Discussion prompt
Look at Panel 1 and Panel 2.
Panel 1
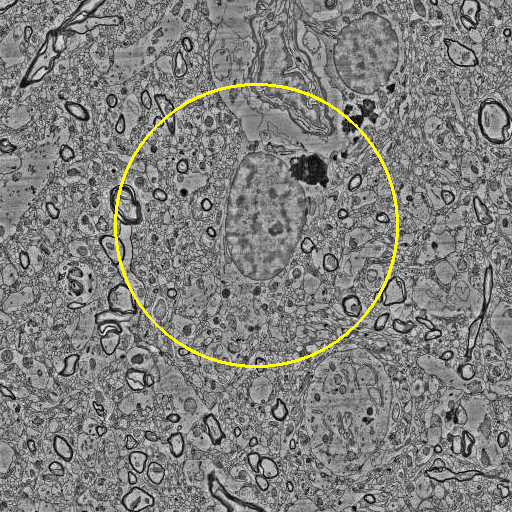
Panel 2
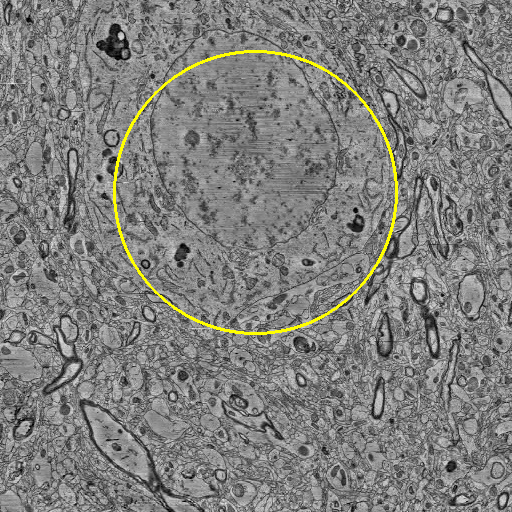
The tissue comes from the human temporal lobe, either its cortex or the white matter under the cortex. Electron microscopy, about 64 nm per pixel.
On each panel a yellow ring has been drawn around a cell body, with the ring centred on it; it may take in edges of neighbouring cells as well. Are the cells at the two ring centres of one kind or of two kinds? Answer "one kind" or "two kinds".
two kinds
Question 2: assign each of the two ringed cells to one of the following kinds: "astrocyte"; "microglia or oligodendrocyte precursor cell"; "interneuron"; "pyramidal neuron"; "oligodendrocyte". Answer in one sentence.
The two cells are an oligodendrocyte in the first picture and a pyramidal neuron in the second.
